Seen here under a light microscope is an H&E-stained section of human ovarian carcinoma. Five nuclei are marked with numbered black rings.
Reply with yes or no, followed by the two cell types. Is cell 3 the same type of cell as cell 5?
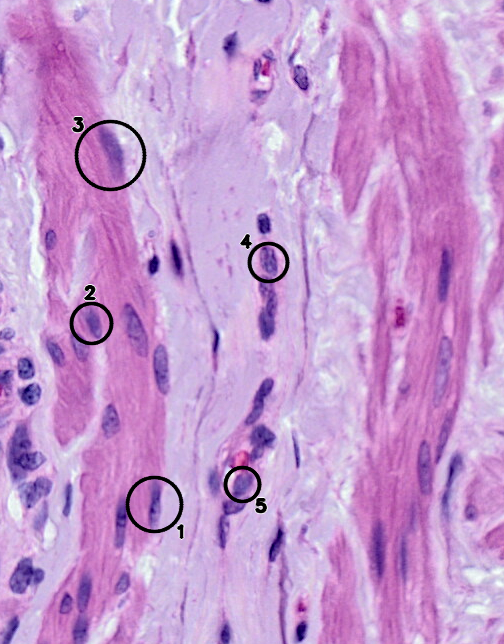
No, cell 3 is a smooth muscle cell and cell 5 is an endothelial cell.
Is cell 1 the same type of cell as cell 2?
Yes, both are smooth muscle cells.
